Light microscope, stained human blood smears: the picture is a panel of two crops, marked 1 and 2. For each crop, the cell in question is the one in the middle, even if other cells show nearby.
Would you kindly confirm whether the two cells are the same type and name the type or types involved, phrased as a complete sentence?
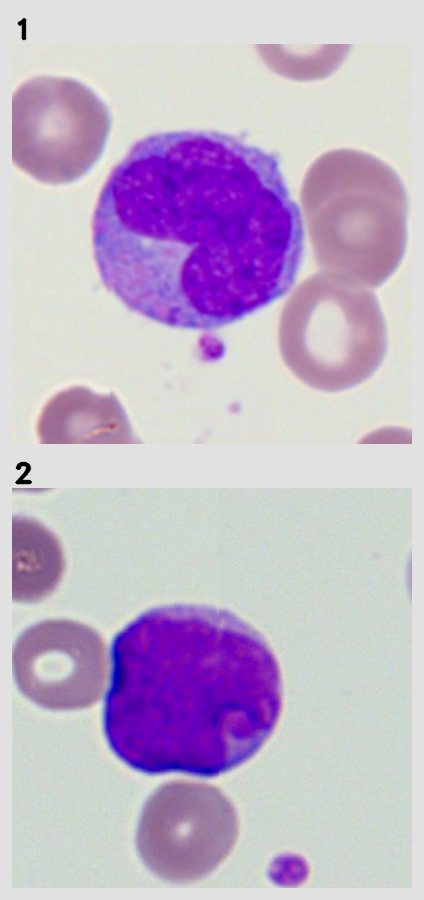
No, crop 1 corresponds to a monocyte, while crop 2 corresponds to a myeloblast.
